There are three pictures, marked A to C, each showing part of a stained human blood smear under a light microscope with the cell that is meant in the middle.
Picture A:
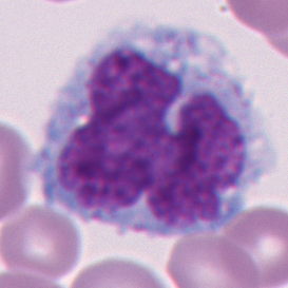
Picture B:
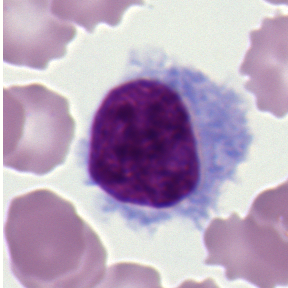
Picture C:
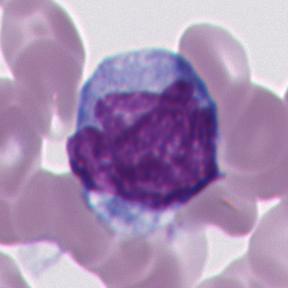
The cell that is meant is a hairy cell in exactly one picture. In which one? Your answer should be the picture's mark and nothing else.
B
